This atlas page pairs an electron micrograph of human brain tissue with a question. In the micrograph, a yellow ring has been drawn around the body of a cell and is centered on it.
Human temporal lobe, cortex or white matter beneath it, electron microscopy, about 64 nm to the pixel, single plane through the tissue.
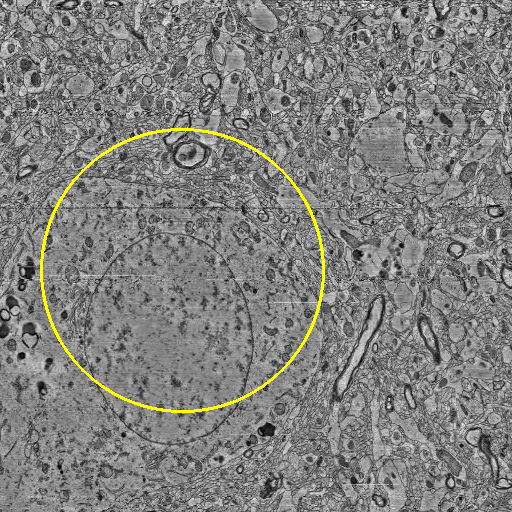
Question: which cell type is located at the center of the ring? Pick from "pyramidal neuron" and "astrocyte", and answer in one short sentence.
Located at the center of the ring is a pyramidal neuron.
